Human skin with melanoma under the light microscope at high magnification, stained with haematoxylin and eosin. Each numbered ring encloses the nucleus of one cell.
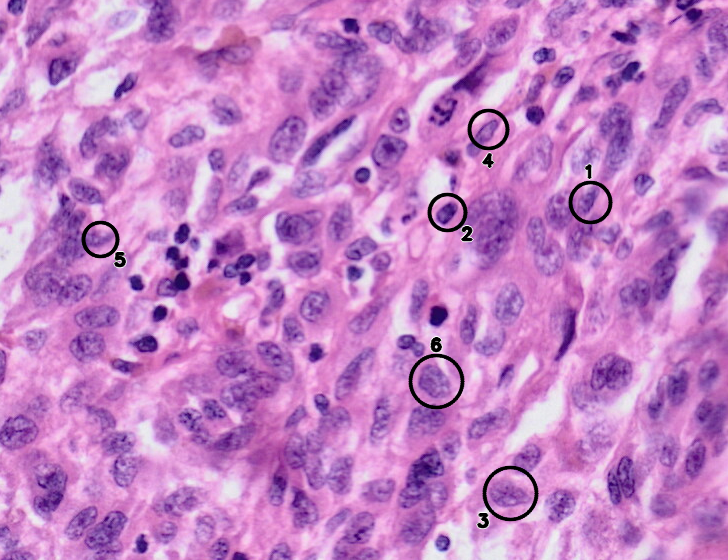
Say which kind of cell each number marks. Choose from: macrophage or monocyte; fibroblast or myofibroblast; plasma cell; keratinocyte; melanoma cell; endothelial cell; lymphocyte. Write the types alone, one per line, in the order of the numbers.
melanoma cell
lymphocyte
melanoma cell
macrophage or monocyte
melanoma cell
melanoma cell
